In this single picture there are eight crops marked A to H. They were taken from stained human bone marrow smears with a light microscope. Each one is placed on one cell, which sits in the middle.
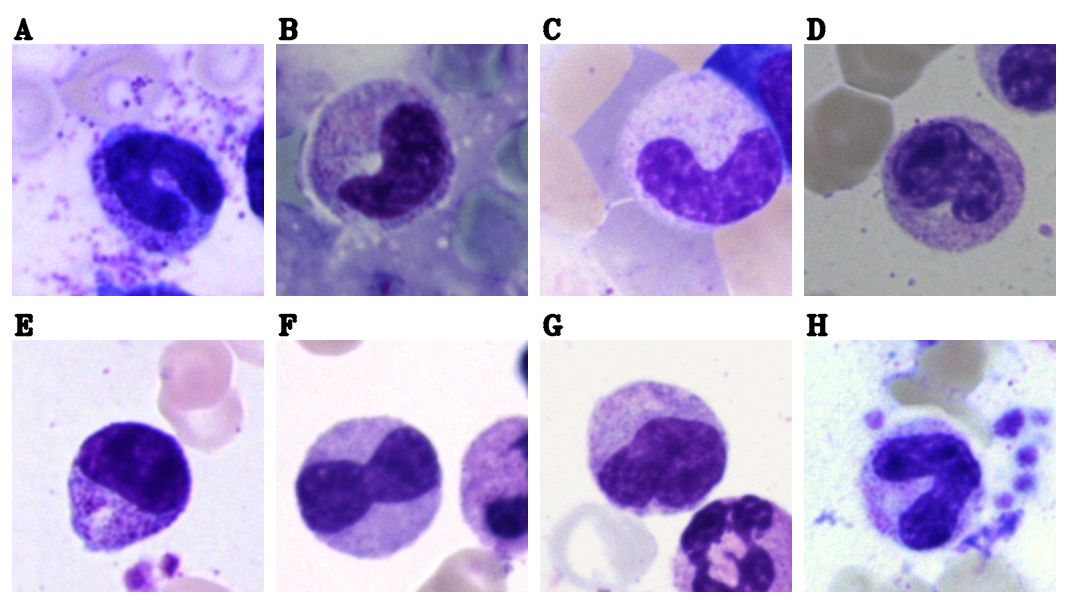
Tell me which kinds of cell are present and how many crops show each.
band neutrophil: 5
metamyelocyte: 3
